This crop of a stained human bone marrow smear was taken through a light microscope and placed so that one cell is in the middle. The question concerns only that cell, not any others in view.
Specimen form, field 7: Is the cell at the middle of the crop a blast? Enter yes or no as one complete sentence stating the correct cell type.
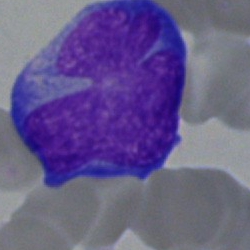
Yes, the cell sitting in the middle of this smear crop is a blast.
